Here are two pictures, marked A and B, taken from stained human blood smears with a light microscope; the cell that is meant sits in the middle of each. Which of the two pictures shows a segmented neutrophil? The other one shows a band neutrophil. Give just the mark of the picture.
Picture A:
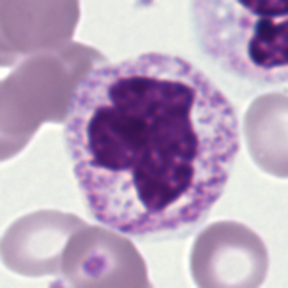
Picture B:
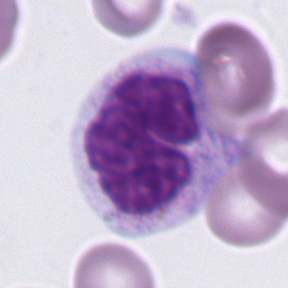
A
